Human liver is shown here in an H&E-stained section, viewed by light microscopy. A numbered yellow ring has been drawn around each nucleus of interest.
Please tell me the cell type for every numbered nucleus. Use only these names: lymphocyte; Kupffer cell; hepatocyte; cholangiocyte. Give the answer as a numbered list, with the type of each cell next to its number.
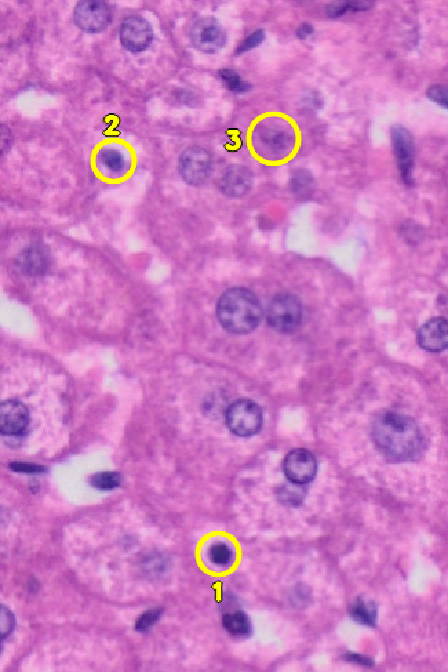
1. lymphocyte
2. lymphocyte
3. hepatocyte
